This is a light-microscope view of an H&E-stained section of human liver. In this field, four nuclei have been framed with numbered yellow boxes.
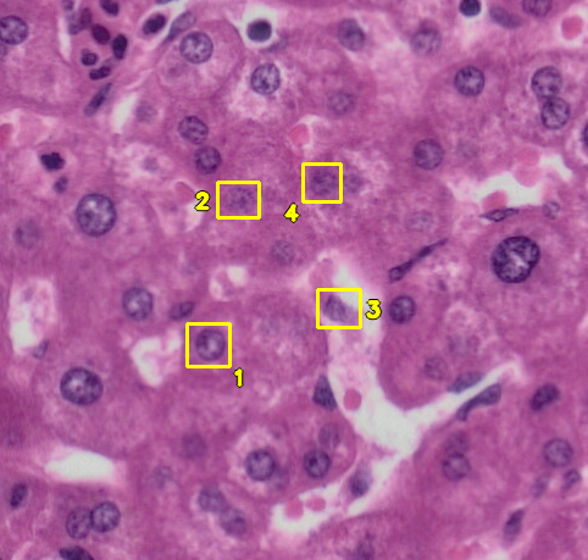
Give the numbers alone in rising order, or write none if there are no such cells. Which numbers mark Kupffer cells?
3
